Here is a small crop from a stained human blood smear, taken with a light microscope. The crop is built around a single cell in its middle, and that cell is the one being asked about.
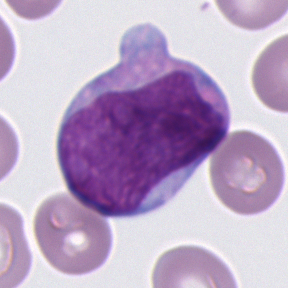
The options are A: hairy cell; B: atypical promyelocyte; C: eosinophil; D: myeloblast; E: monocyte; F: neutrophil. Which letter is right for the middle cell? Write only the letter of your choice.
B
